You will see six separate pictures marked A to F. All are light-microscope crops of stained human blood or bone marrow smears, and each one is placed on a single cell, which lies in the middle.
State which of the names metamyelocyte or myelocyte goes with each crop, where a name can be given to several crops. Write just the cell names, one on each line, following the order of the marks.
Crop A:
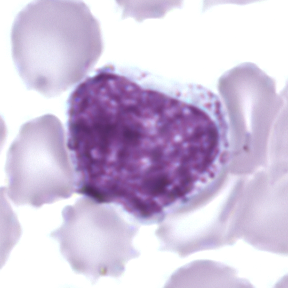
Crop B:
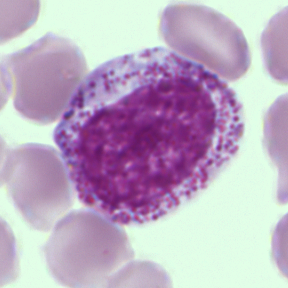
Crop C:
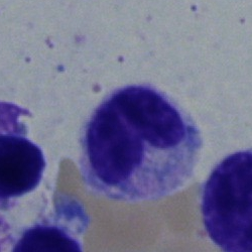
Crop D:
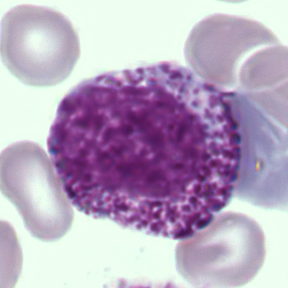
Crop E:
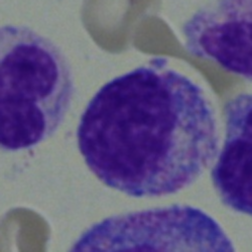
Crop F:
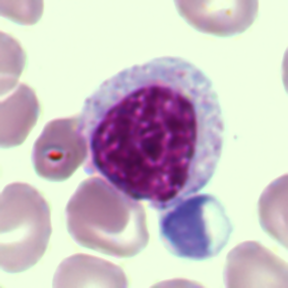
myelocyte
myelocyte
metamyelocyte
myelocyte
myelocyte
metamyelocyte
